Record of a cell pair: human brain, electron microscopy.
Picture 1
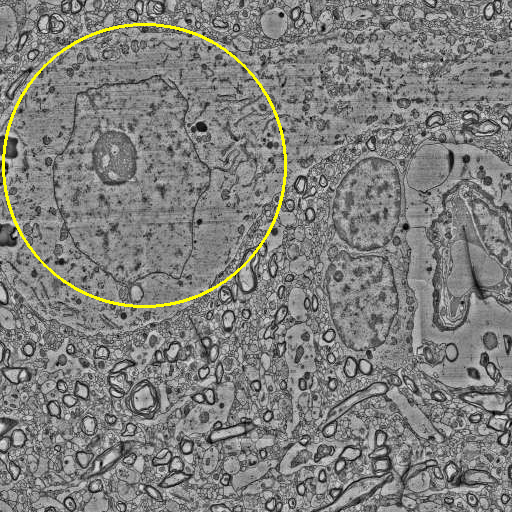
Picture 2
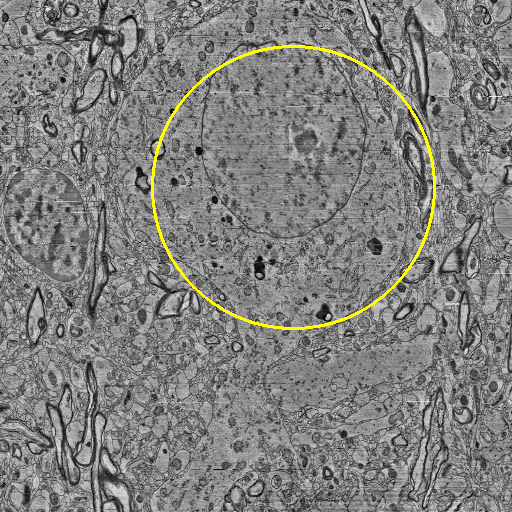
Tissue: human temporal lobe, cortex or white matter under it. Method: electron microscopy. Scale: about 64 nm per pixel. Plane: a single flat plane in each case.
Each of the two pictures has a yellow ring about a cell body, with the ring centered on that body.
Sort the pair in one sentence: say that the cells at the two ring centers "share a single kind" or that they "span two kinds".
The cells centered in the rings of Pictures 1 and 2 share a single kind.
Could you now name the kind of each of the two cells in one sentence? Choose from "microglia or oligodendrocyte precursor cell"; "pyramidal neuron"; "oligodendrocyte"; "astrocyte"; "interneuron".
Each of the two pictures has a pyramidal neuron at the ring centre.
